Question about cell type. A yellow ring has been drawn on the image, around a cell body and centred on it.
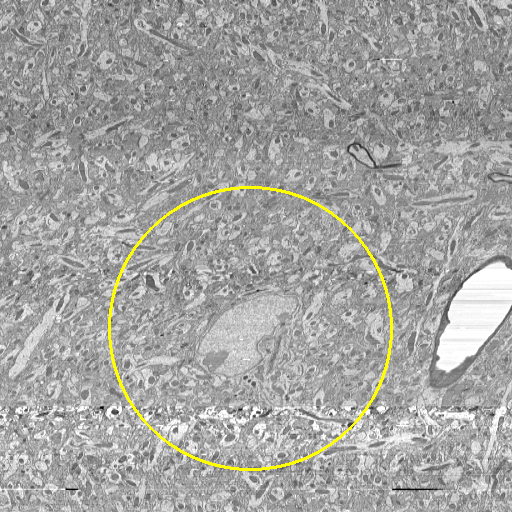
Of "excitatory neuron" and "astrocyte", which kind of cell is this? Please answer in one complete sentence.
At the centre of the ring lies an astrocyte.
